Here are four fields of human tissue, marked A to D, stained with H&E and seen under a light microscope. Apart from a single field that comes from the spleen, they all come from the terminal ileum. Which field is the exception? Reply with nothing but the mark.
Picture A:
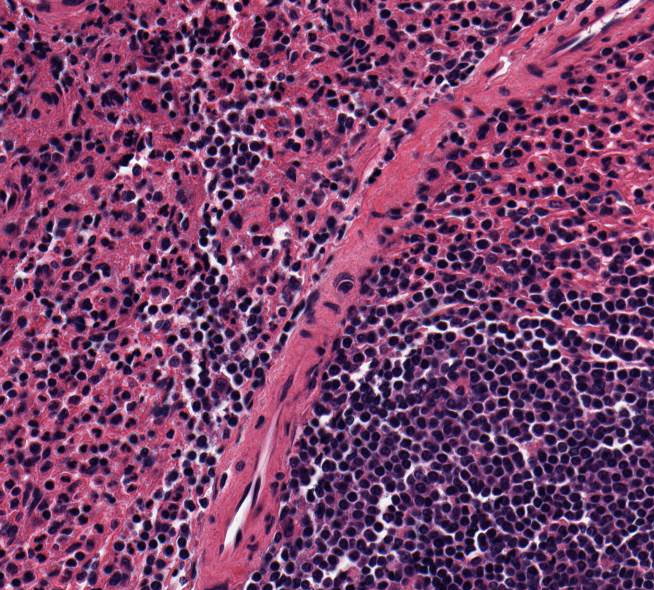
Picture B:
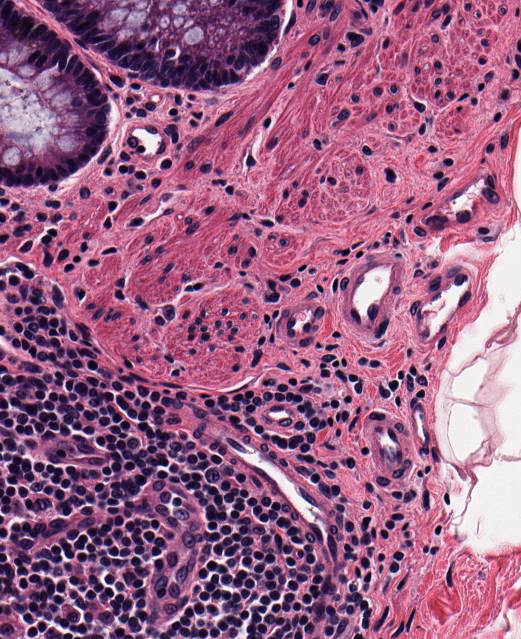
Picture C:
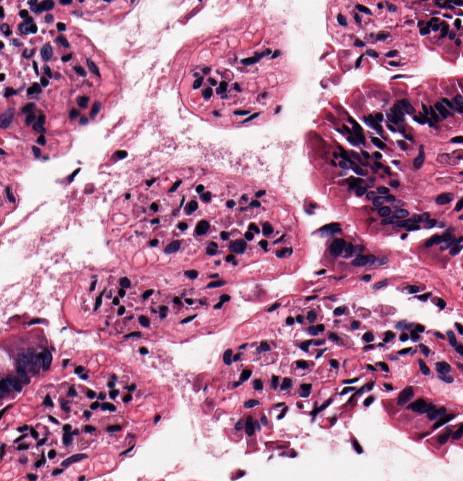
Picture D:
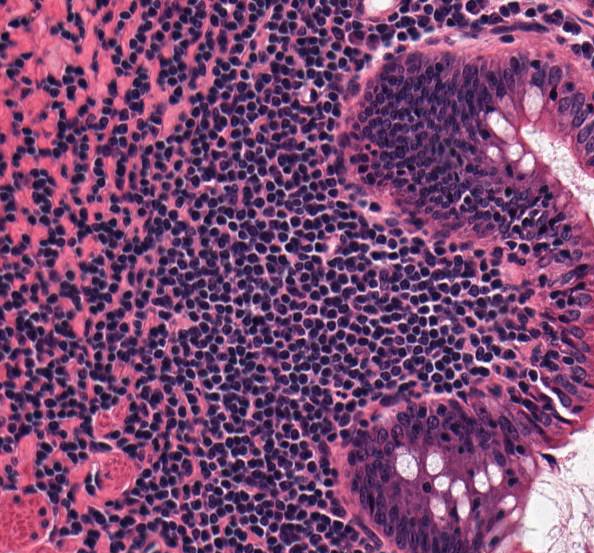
A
